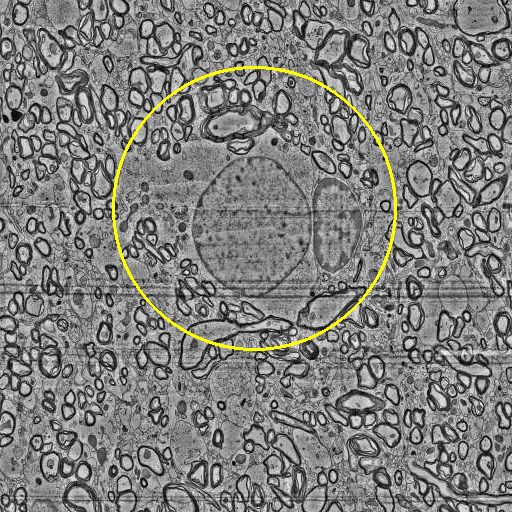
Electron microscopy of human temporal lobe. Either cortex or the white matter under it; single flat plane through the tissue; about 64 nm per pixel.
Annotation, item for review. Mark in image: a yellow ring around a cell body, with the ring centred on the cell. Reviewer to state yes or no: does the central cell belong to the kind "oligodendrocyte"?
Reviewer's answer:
no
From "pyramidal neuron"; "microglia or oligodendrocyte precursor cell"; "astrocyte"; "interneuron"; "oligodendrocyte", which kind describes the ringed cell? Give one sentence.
The correct answer is that the cell is an astrocyte.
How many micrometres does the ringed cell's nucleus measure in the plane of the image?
The nucleus has a long axis of about 9 micrometres and a short axis of about 7 micrometres in this plane.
